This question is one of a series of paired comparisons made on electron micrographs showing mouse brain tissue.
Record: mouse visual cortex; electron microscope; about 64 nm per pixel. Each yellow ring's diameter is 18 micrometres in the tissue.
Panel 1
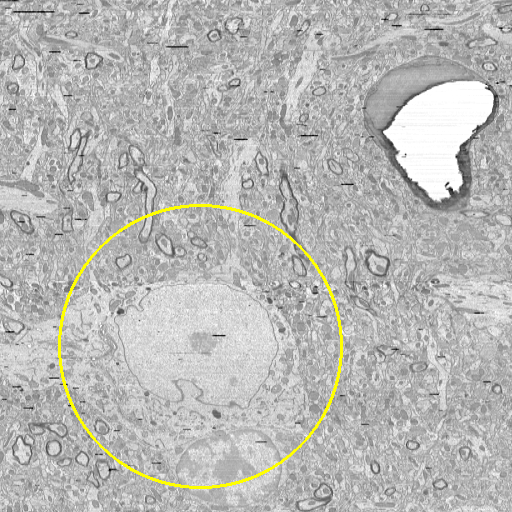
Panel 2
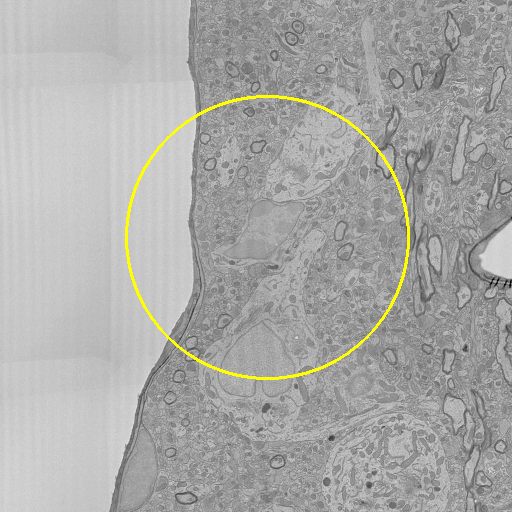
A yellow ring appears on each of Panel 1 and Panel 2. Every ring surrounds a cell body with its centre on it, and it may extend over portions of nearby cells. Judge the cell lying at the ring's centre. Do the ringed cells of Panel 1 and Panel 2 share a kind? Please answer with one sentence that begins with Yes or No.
No, the ring-centre cell in Panel 1 and the one in Panel 2 are of two kinds.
